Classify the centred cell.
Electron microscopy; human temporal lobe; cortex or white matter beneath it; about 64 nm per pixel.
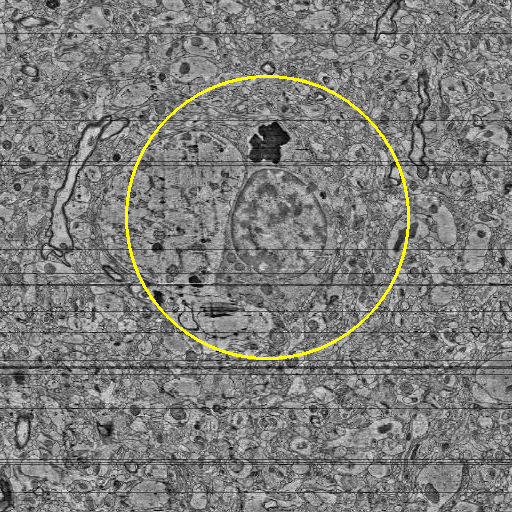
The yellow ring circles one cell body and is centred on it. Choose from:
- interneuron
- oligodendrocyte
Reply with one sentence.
The ring is centred on an oligodendrocyte.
